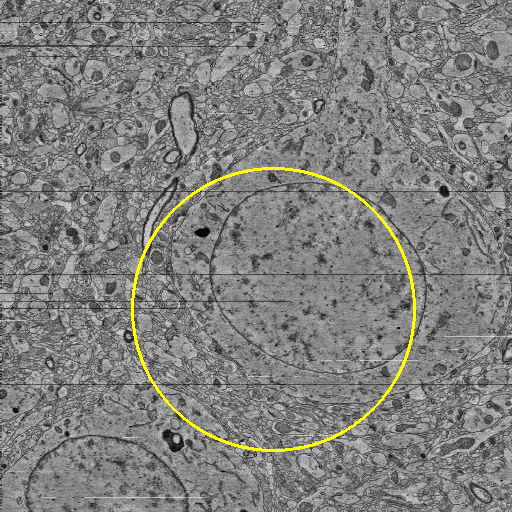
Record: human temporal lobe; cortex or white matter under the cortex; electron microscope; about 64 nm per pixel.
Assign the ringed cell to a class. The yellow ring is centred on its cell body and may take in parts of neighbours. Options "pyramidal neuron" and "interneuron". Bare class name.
pyramidal neuron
